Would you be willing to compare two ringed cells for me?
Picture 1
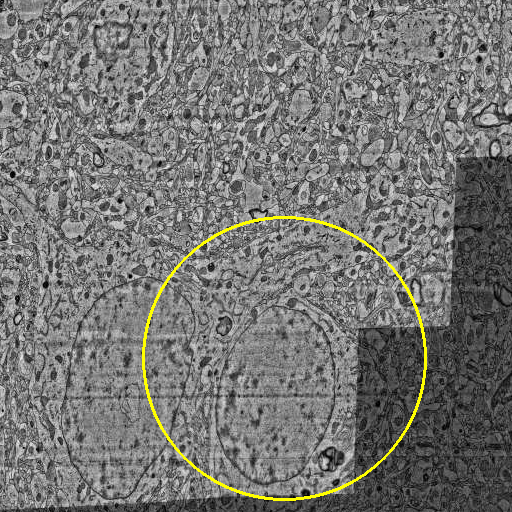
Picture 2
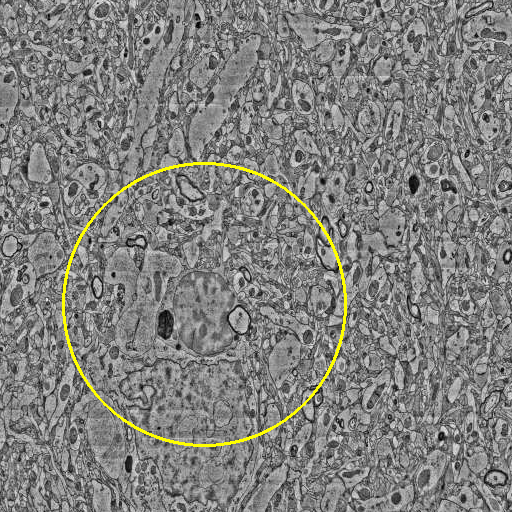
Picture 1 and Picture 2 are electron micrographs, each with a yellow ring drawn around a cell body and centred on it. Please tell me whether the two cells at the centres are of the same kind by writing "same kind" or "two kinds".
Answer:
two kinds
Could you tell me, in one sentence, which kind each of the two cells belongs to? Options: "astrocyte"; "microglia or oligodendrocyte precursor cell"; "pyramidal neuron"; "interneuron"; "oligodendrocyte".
At the centre of the first ring sits a pyramidal neuron, and at the centre of the second sits an oligodendrocyte.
